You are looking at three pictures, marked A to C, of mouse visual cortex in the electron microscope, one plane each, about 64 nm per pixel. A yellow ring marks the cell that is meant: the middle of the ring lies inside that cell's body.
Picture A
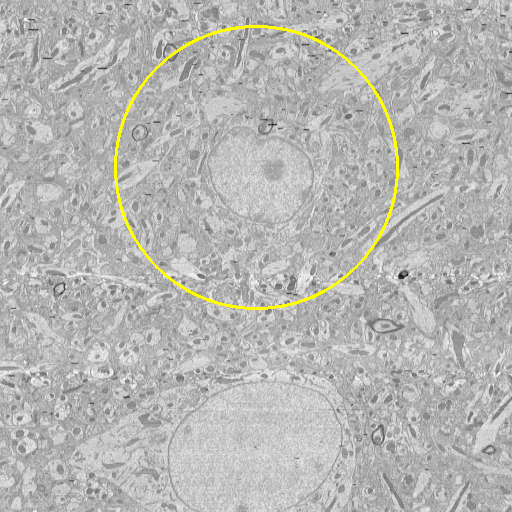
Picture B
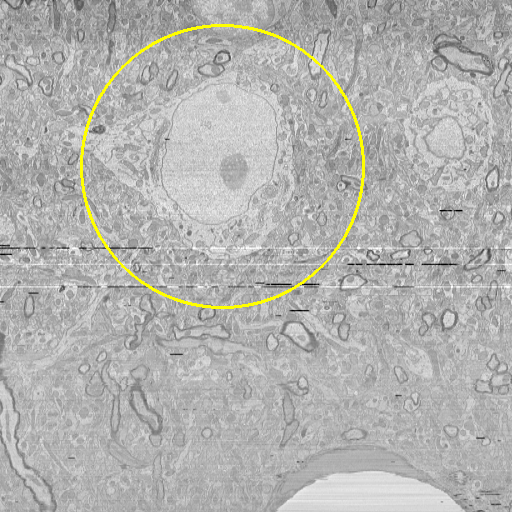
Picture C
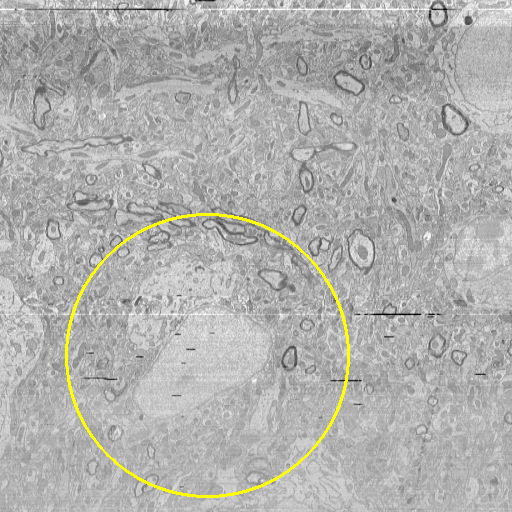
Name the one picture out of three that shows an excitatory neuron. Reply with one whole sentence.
Picture B shows the excitatory neuron.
